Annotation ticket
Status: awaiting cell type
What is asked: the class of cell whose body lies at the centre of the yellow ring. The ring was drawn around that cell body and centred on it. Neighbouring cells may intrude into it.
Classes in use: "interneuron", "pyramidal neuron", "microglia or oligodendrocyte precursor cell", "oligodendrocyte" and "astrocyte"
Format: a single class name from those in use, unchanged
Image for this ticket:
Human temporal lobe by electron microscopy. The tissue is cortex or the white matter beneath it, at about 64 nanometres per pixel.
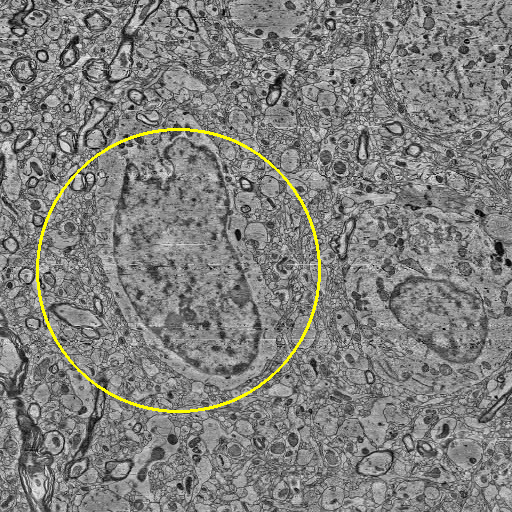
microglia or oligodendrocyte precursor cell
